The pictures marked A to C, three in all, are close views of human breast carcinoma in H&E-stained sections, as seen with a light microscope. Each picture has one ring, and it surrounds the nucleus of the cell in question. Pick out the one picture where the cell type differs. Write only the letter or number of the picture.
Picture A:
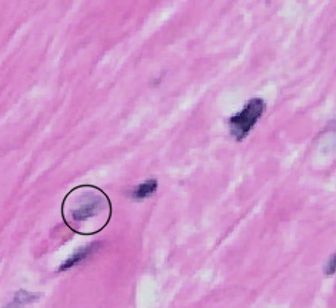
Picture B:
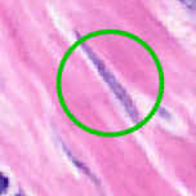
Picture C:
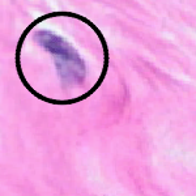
A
